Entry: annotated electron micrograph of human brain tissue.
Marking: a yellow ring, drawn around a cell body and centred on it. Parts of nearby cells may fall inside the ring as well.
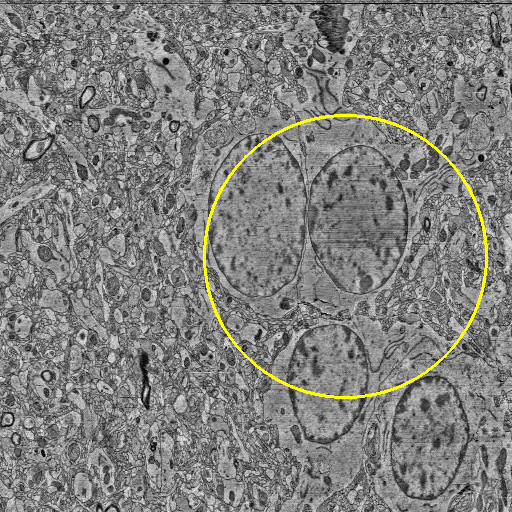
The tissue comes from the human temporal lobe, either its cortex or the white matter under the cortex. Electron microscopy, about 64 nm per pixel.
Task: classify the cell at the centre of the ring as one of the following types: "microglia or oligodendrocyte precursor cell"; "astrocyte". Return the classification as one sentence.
The marked cell is classified as an astrocyte.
